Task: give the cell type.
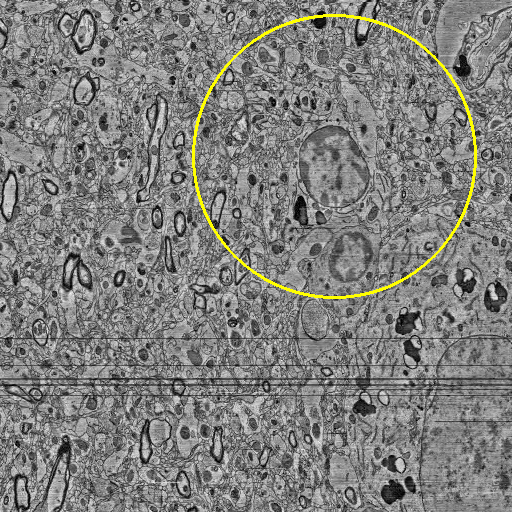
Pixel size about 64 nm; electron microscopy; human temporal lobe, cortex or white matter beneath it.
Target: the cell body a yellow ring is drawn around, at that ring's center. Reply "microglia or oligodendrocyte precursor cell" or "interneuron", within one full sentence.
In this picture, the cell whose body lies at the ring's center is a microglial cell or oligodendrocyte precursor cell.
